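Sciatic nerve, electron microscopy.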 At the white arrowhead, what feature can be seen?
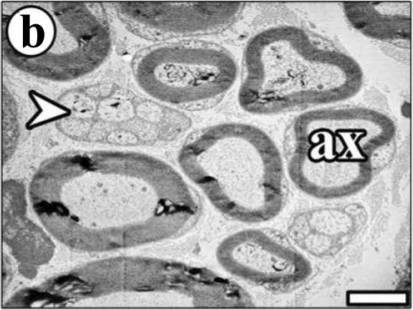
Unmyelinated.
